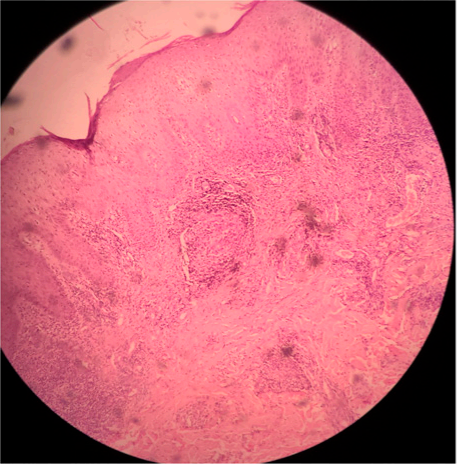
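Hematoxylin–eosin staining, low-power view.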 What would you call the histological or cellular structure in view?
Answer: multiple well-formed epithelioid granulomas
